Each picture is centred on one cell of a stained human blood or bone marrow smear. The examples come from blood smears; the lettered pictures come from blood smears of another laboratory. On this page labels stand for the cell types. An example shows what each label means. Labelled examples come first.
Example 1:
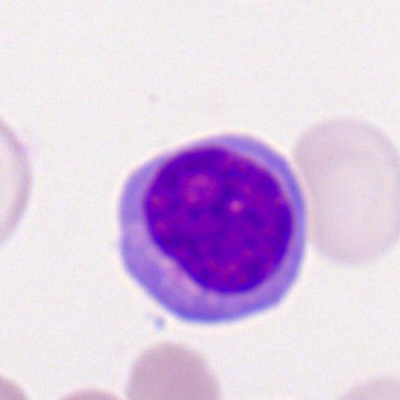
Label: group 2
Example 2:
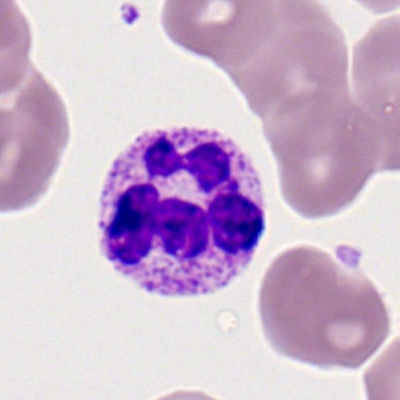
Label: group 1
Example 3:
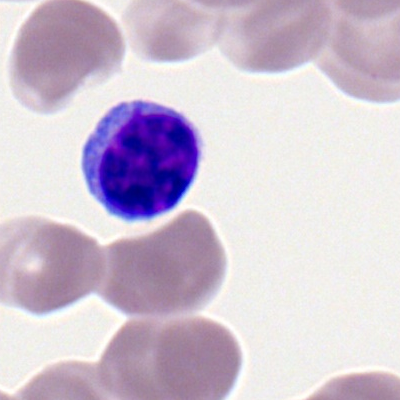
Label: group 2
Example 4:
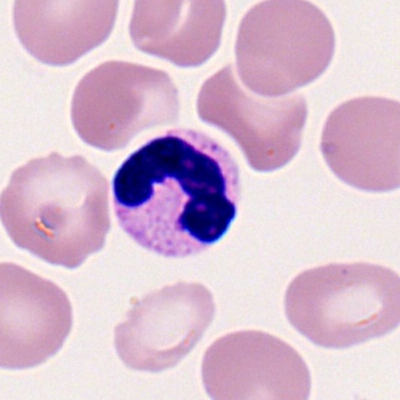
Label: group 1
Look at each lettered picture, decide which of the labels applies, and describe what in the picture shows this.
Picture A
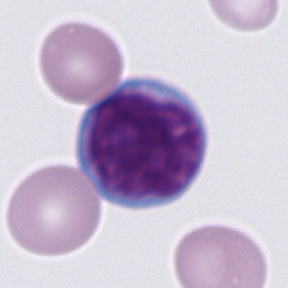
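group 2. Reason: The cytoplasm forms only a thin rim around the nucleus.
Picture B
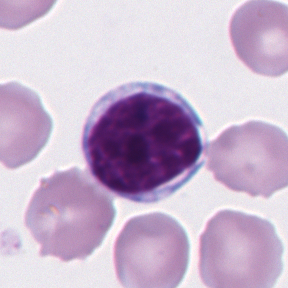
group 2. Reason: The cytoplasm forms only a thin rim around the nucleus.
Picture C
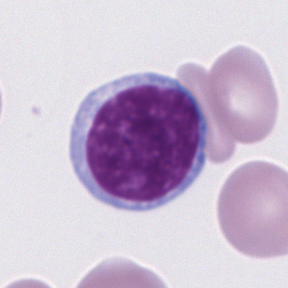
group 2. Reason: The cytoplasm forms a thin rim that is widest on the left side of the nucleus.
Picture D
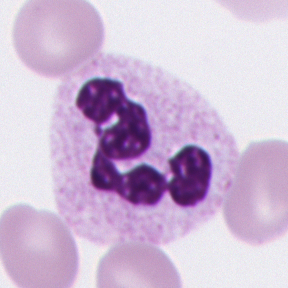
group 1. Reason: The nucleus is divided into several separate lobes arranged in a curving chain.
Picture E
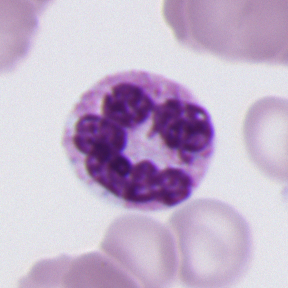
group 1. Reason: The nuclear lobes form a ring around a pale central area of cytoplasm.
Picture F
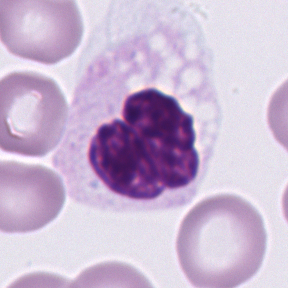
group 1. Reason: The cytoplasm is abundant and pale greyish-lilac.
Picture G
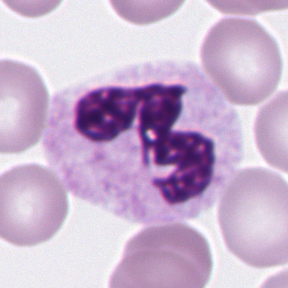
group 1. Reason: The cytoplasm is plentiful and pale pinkish-lilac rather than blue.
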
